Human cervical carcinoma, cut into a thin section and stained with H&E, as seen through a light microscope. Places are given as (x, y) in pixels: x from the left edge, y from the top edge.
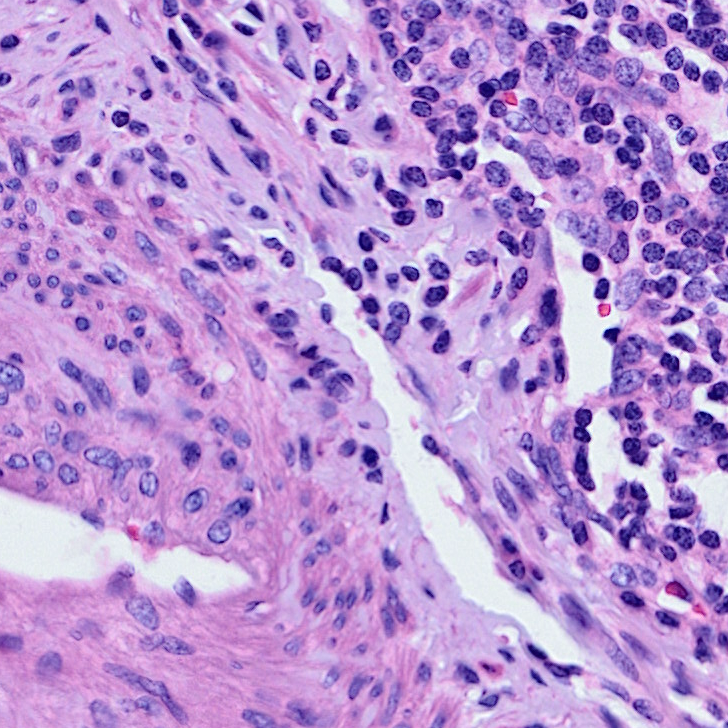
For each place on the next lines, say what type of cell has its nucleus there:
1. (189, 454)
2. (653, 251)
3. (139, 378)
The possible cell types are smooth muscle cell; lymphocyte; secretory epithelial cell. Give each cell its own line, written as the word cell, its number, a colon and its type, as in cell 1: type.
cell 1: smooth muscle cell
cell 2: lymphocyte
cell 3: smooth muscle cell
